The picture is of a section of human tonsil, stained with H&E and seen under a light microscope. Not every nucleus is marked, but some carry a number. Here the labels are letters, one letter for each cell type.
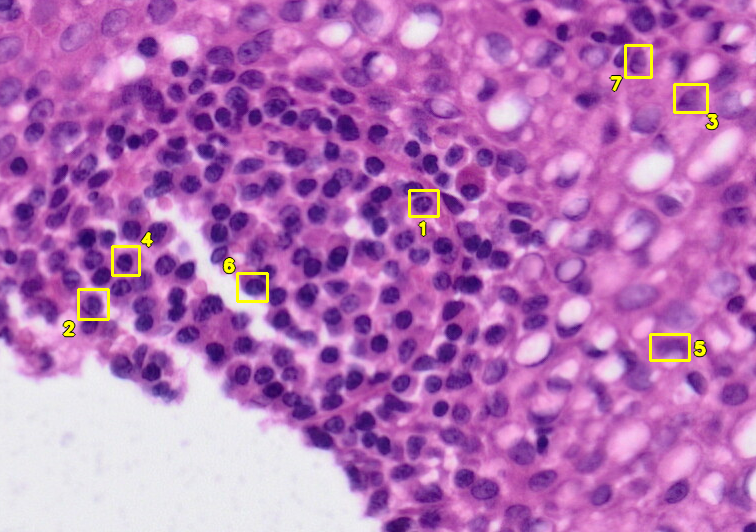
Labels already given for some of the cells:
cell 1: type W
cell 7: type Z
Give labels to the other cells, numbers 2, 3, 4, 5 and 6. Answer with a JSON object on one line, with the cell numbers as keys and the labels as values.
{"2": "type W", "3": "type Z", "4": "type W", "5": "type Z", "6": "type W"}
